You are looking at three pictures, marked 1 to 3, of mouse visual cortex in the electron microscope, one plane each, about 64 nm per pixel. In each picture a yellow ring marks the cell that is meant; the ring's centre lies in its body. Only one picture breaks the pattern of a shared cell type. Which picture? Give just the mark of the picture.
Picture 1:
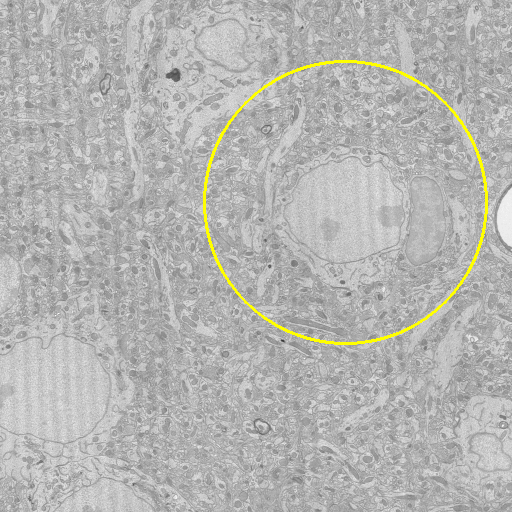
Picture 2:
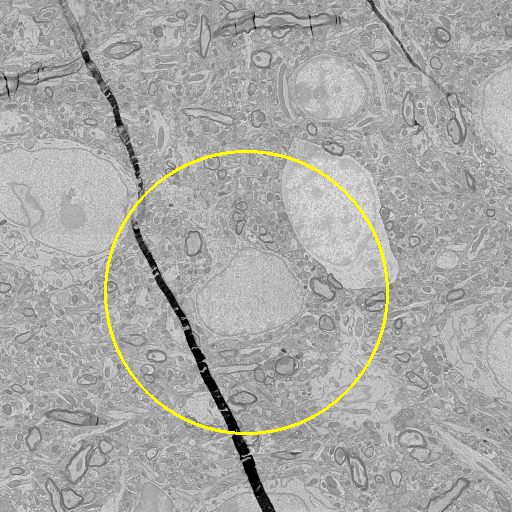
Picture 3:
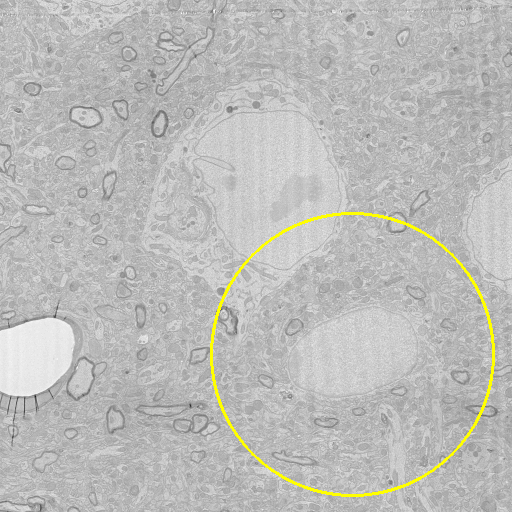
1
